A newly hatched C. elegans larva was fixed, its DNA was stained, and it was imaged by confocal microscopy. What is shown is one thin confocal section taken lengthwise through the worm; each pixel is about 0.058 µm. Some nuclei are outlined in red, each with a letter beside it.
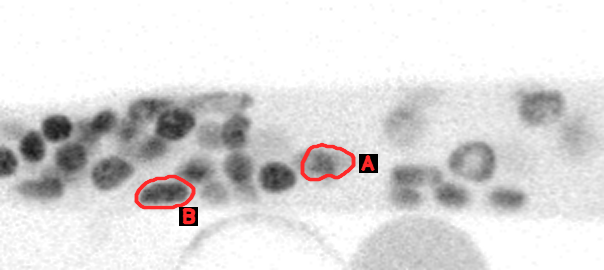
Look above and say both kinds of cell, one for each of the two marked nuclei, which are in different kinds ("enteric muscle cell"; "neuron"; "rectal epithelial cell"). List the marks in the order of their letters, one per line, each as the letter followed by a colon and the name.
A: enteric muscle cell
B: rectal epithelial cell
